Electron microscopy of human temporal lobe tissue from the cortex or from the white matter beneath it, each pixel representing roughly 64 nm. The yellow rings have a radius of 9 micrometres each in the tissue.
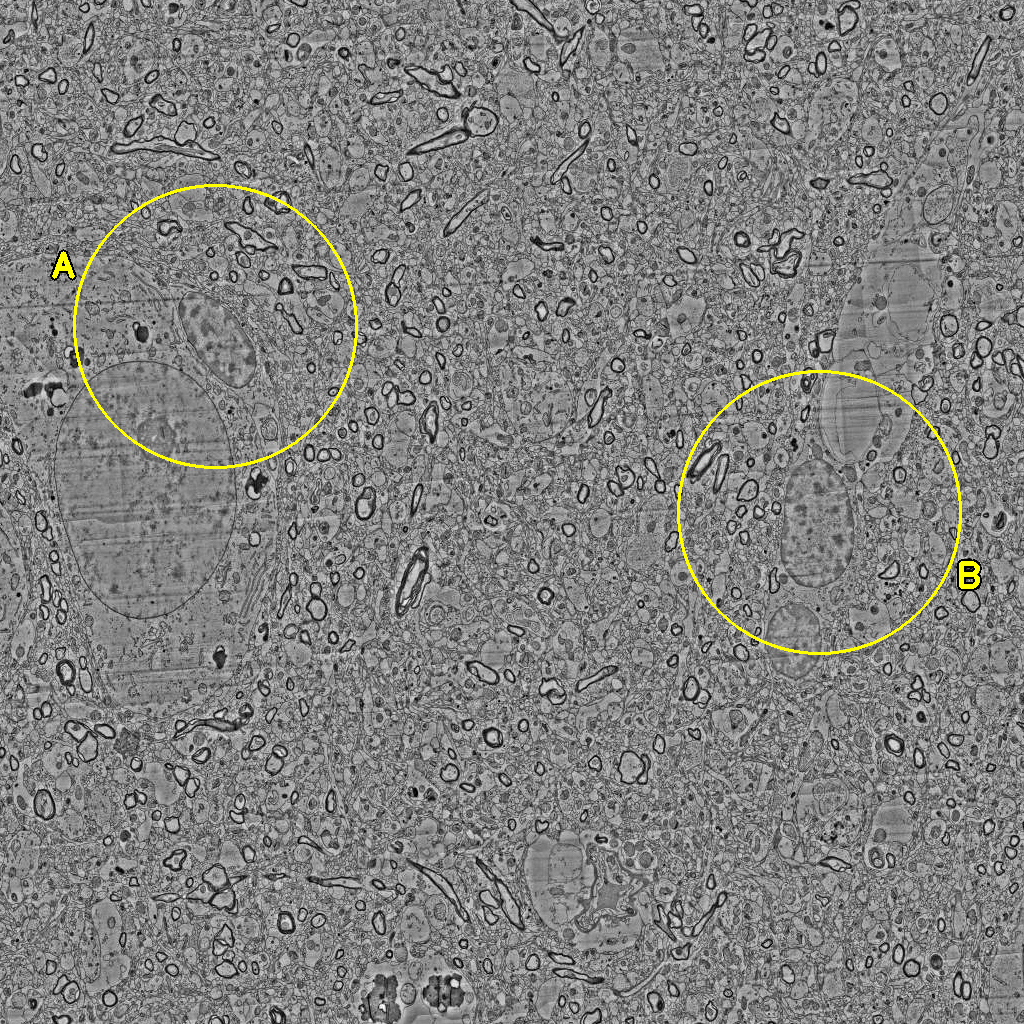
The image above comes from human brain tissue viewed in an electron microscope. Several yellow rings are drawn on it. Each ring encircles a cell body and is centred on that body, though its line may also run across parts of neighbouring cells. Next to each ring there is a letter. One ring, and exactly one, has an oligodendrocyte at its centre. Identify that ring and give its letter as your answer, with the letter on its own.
B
